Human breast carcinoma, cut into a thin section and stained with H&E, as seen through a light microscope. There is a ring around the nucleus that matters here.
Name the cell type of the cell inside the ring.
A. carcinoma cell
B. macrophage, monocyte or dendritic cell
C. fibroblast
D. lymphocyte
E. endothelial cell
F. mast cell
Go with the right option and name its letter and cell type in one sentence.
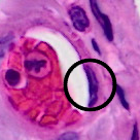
Here the cell inside the ring is an endothelial cell, which makes option E correct.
